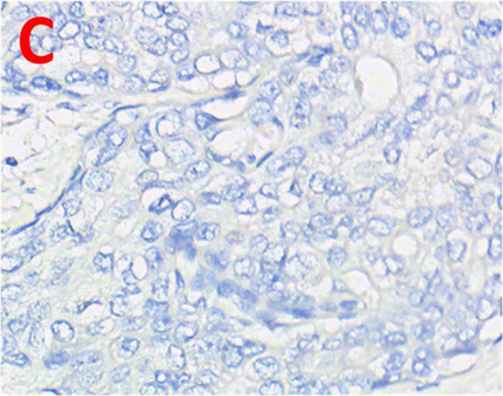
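This is a field of tumor cells stained only with blue counterstain, without brown on their membranes. The cells lie crowded in solid sheets, with large round to oval nuclei that have open, vesicular chromatin and small nucleoli. Their cytoplasm is pale, and several small clear vacuole-like spaces are scattered among the cells. A band of fibrous stroma with thin, elongated nuclei crosses the field between groups of tumor cells.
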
